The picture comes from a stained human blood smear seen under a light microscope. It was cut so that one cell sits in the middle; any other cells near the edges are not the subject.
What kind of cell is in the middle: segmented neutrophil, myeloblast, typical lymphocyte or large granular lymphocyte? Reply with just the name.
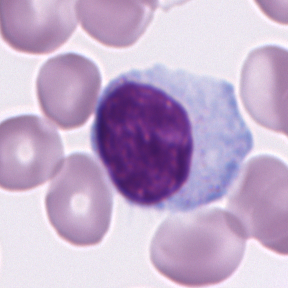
typical lymphocyte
